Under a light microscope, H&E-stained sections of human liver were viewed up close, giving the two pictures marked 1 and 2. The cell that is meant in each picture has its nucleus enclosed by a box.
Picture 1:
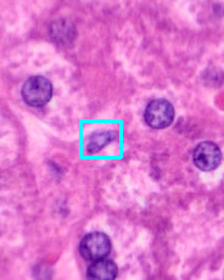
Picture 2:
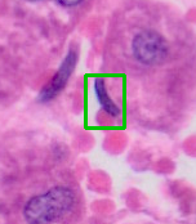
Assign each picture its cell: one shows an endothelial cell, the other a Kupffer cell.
1: Kupffer cell
2: endothelial cell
